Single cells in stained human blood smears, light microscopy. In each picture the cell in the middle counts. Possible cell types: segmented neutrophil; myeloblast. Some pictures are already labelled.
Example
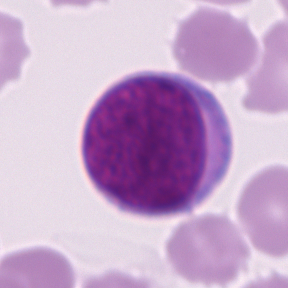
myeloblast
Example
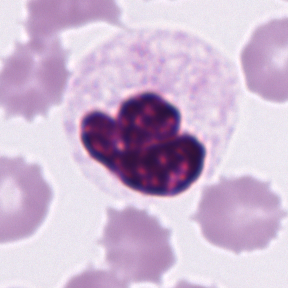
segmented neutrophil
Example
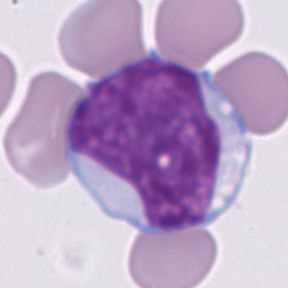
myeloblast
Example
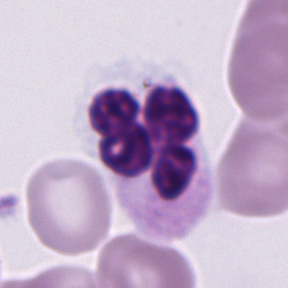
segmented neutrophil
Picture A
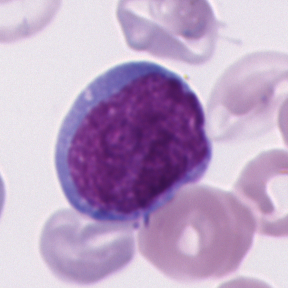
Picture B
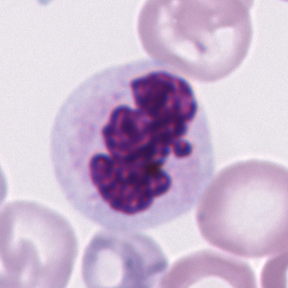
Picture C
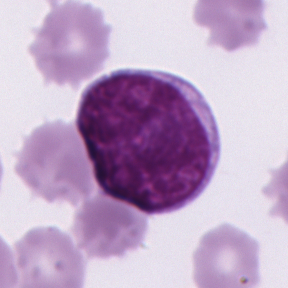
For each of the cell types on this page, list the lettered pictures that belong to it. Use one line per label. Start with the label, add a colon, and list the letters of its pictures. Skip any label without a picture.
segmented neutrophil: B
myeloblast: A, C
